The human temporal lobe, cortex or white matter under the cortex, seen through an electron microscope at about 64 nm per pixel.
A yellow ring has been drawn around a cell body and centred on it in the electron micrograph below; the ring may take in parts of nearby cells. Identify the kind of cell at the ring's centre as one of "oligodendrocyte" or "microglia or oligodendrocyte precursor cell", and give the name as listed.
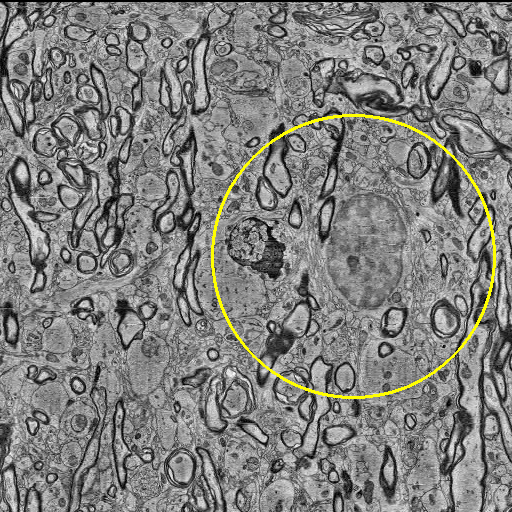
oligodendrocyte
